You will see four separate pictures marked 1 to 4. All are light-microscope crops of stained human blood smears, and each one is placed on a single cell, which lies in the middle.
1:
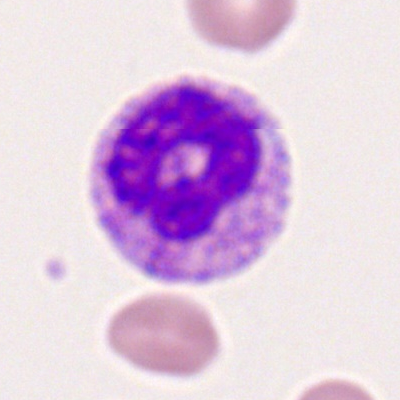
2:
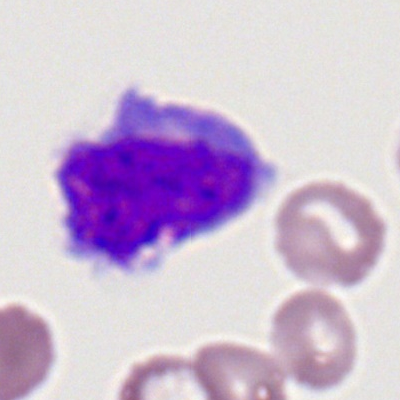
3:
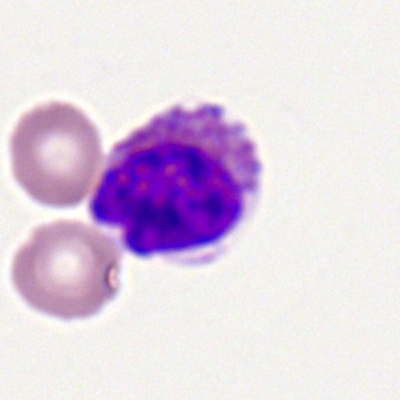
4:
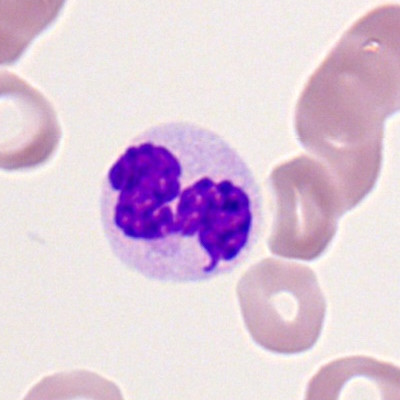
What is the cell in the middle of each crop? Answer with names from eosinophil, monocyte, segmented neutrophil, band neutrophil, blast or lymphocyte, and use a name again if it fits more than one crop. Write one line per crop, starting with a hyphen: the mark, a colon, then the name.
- 1: band neutrophil
- 2: monocyte
- 3: eosinophil
- 4: segmented neutrophil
